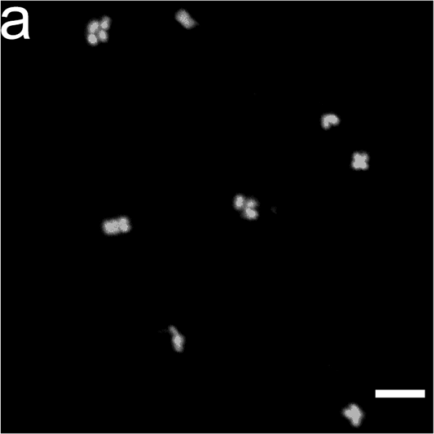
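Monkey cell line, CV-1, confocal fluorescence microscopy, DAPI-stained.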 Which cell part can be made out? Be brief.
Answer: Mitotic chromosomes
